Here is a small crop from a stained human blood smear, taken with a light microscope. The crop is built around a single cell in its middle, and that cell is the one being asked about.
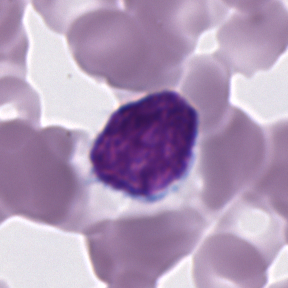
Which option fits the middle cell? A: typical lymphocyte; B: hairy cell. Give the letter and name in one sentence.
The cell right in the middle is a typical lymphocyte, so option A is the one.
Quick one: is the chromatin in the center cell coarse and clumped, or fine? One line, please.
The chromatin within its nucleus forms coarse clumps.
